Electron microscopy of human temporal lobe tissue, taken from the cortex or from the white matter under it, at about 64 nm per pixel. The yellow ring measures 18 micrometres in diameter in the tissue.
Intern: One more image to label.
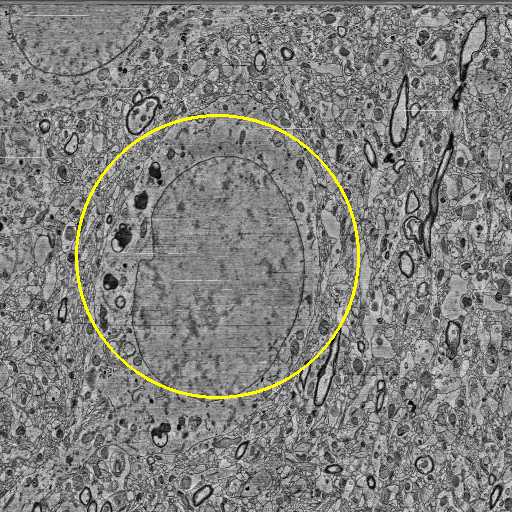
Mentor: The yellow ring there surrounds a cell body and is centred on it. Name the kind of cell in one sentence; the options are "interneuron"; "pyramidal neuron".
The ring marks the cell body of a pyramidal neuron.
